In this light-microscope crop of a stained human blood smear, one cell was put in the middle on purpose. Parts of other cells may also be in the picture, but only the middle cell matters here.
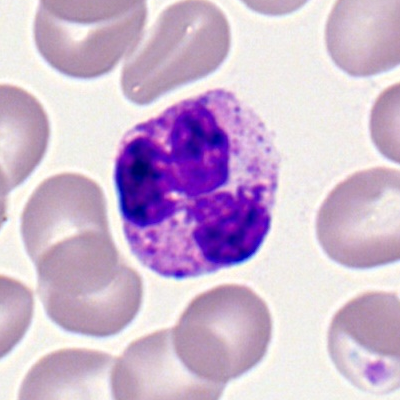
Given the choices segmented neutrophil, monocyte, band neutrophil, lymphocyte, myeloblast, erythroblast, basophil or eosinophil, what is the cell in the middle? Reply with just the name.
basophil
